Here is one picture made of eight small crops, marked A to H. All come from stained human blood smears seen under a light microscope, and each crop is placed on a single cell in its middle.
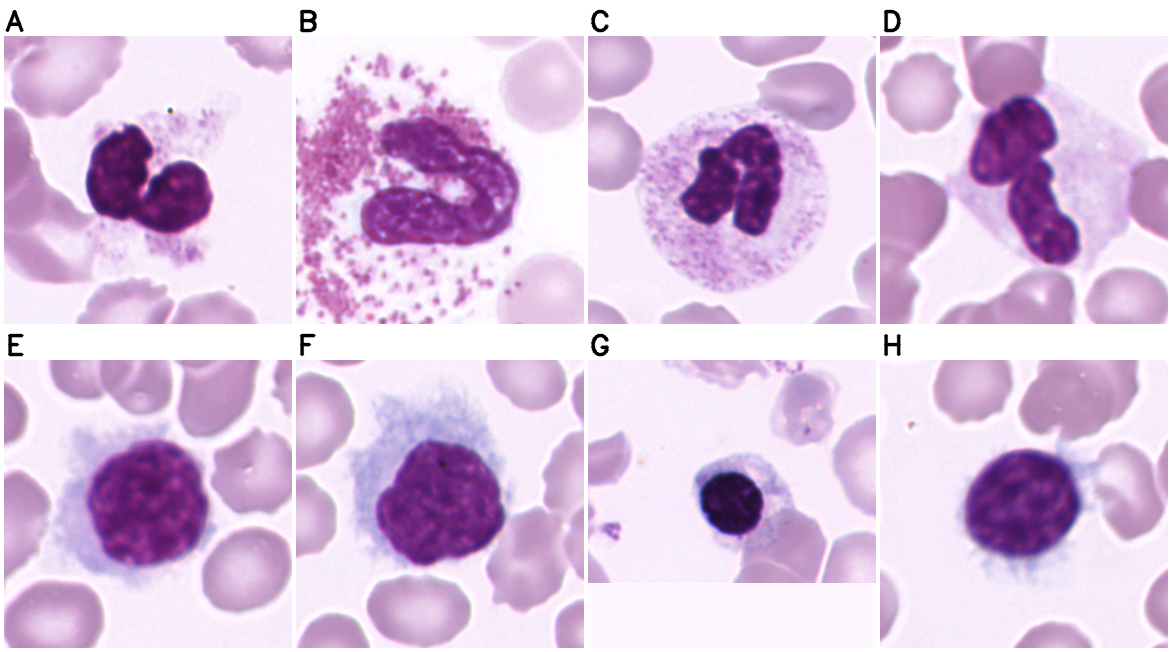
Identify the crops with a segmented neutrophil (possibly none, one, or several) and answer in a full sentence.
Crops A, C and D are designated as showing segmented neutrophils.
